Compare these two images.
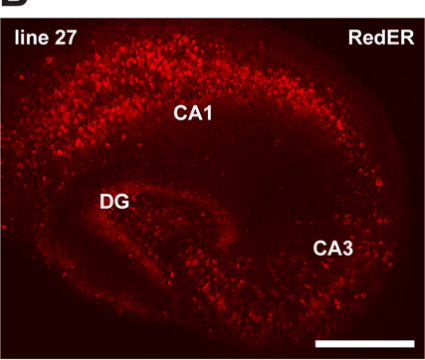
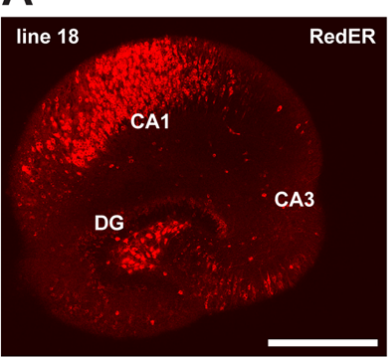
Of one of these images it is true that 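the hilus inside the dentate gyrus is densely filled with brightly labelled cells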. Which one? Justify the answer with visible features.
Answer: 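First image: the dentate region shows a thin curved labelled band with only sparse labelling inside its curve. Second image: a dense cluster of bright labelled cells fills the space within the dentate curve.
Conclusion: the second image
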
